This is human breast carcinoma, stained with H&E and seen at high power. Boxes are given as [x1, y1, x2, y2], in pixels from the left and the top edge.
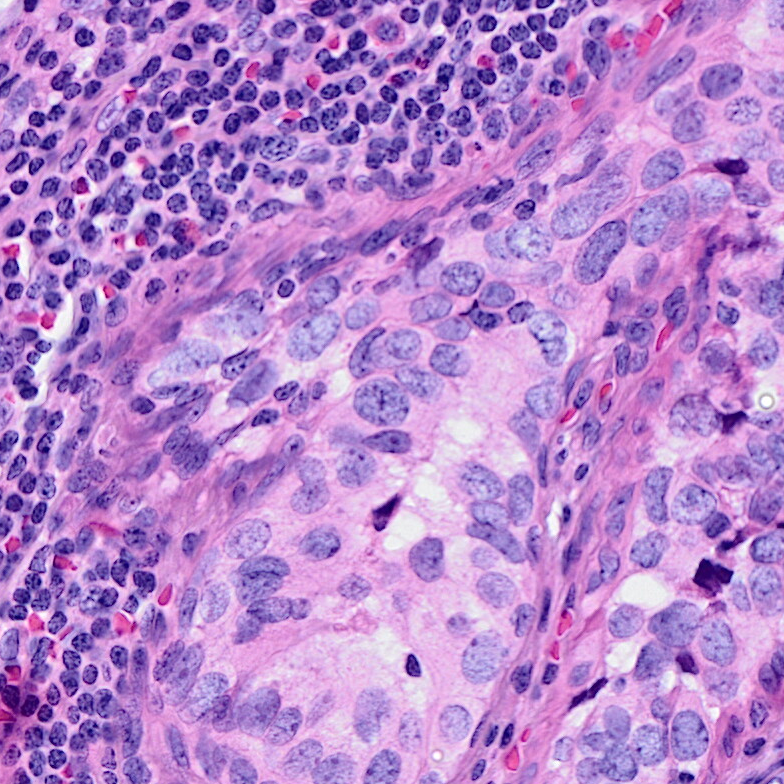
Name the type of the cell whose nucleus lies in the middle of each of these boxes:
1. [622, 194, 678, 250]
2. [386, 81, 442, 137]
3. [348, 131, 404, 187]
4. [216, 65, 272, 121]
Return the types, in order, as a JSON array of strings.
["carcinoma cell", "lymphocyte", "lymphocyte", "lymphocyte"]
